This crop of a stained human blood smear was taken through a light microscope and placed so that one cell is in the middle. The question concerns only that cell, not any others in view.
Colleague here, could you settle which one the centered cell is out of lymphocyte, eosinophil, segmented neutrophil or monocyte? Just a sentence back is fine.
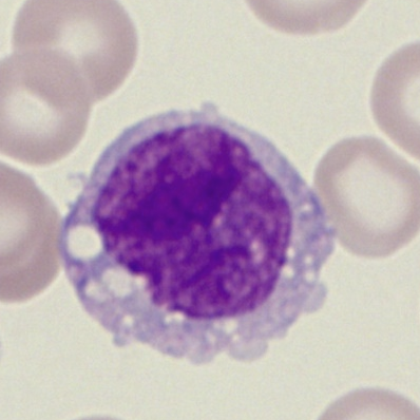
In the centre of this crop there is a monocyte.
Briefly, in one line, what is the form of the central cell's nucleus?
Round, oval or kidney-shaped, the nucleus is one compact mass.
